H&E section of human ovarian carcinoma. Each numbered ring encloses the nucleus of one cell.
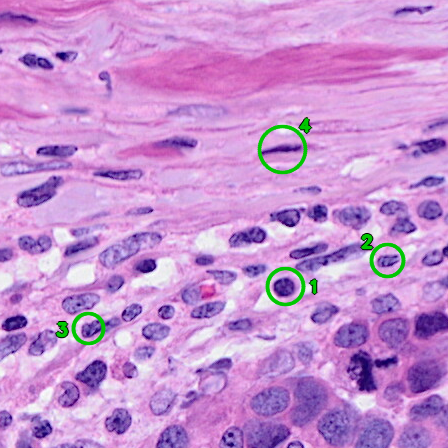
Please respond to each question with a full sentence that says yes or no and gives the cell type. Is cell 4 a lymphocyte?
No, cell 4 does not count as a lymphocyte; it is a fibroblast.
